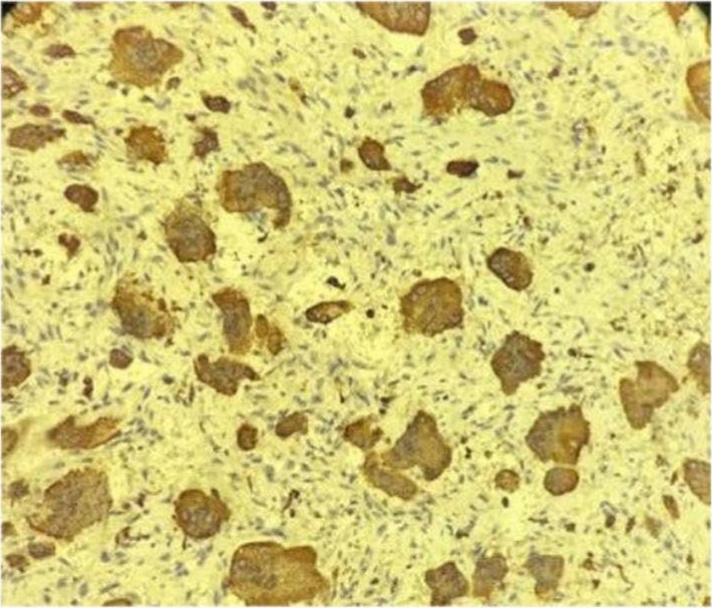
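Lesion with numerous multinucleated giant cells scattered among mononuclear cells. The giant cells are large and rounded to irregular, with brown-stained cytoplasm and several bluish nuclei inside. The background mononuclear cells are small and spindle-shaped, with blue nuclei in a pale stroma, and are mostly unstained.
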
